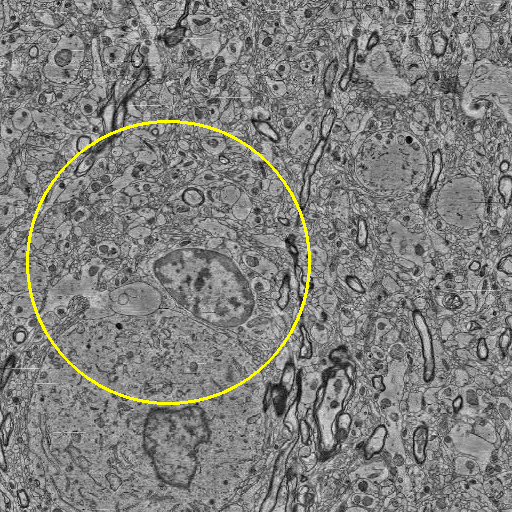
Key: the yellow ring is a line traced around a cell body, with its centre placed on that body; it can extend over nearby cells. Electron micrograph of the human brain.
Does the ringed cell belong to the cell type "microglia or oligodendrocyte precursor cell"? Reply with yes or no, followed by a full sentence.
Yes, the cell at the centre of the yellow ring in the picture is of that type.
